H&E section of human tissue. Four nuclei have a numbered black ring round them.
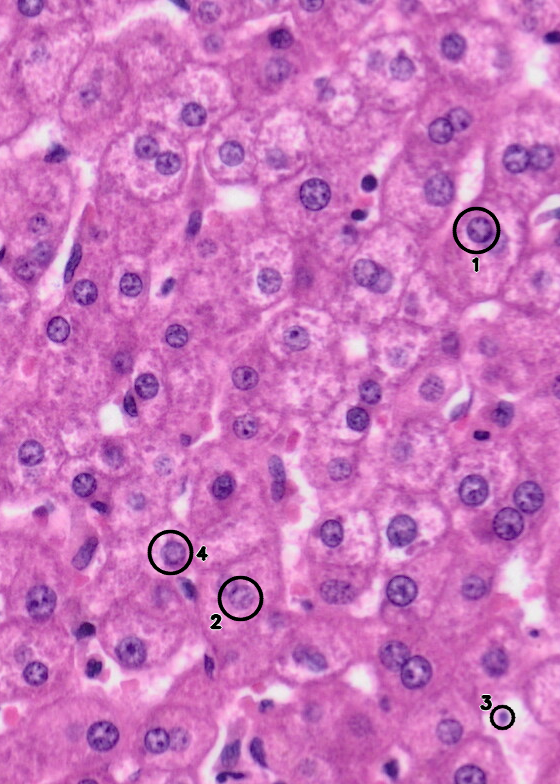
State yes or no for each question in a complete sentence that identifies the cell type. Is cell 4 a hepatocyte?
Yes, within this section, cell number 4 is a hepatocyte.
